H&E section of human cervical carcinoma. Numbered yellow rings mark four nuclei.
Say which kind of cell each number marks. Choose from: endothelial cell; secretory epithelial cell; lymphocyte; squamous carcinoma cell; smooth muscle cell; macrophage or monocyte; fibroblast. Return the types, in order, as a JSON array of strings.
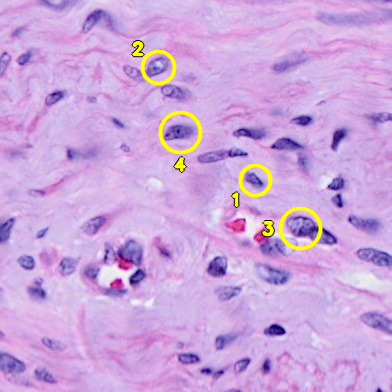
["fibroblast", "smooth muscle cell", "endothelial cell", "fibroblast"]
